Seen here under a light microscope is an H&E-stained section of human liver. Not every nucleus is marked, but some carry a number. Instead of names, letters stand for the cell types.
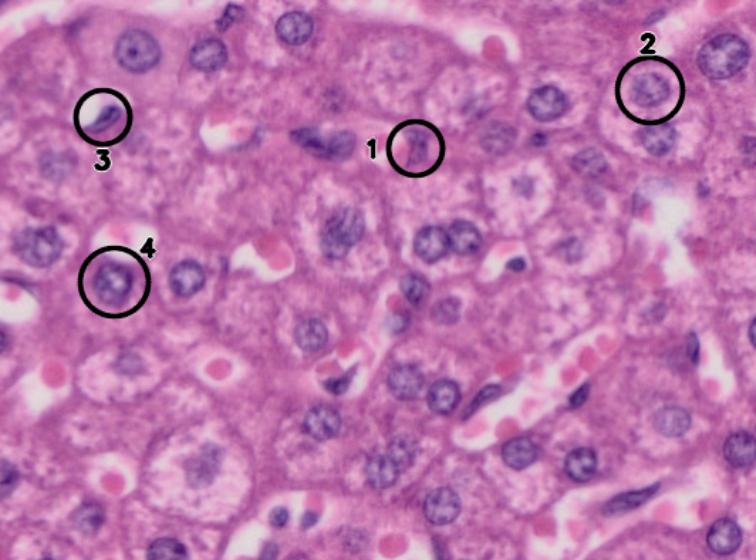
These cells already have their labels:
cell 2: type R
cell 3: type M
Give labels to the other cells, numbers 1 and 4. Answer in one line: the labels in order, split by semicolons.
type M; type R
